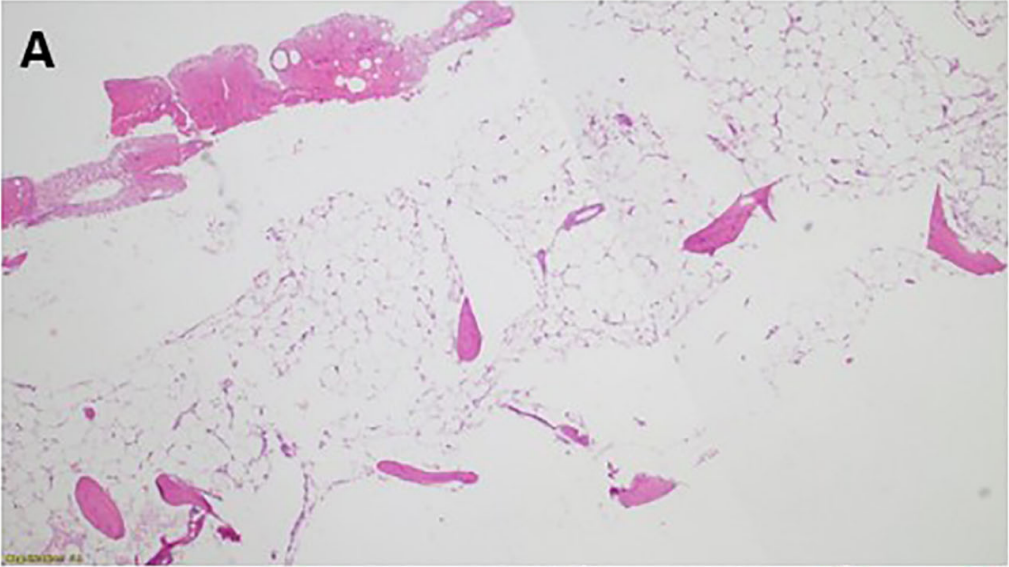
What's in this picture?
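At low magnification, thin pink bone trabeculae are scattered through a field filled almost entirely by pale, empty fat vacuoles, with only sparse purple nuclei in between. A denser pink strip of tissue runs along the upper edge. The marrow is markedly hypocellular, with blood-forming tissue nearly absent.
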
